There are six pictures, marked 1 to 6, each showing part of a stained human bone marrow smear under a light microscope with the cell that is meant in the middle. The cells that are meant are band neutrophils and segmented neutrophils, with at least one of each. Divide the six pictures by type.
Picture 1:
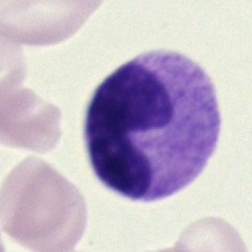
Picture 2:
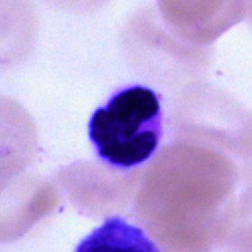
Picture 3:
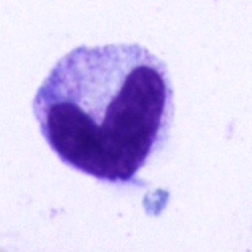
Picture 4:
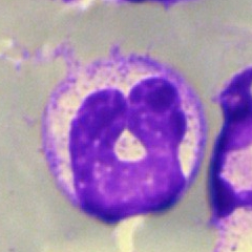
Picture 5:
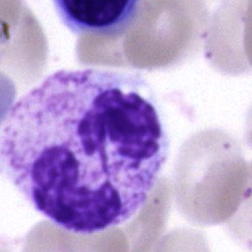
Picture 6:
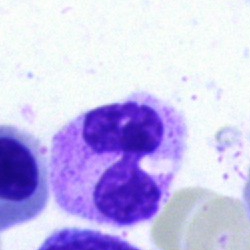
1: band neutrophil
2: segmented neutrophil
3: band neutrophil
4: band neutrophil
5: segmented neutrophil
6: segmented neutrophil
